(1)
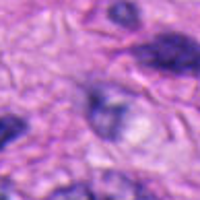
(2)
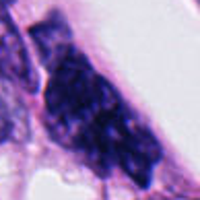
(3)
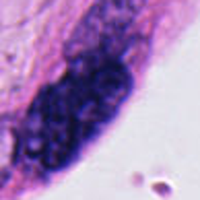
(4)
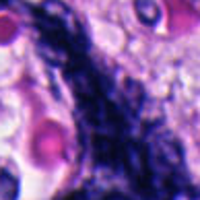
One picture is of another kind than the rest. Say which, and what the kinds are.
Picture 1 shows a vascular myocyte; the rest show syncytial knots.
